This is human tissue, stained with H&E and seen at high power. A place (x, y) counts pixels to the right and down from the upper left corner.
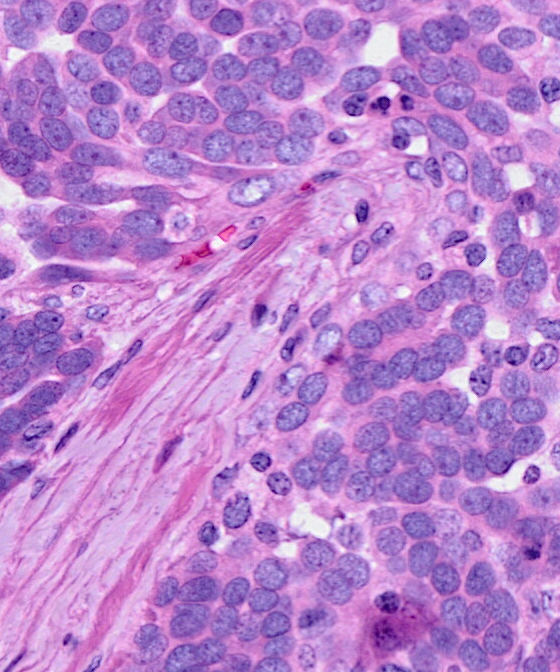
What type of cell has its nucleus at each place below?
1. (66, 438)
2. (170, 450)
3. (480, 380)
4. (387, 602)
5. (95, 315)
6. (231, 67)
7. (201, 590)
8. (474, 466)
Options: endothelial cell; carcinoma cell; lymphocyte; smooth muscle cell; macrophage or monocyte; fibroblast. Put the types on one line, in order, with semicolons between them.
fibroblast; fibroblast; macrophage or monocyte; lymphocyte; fibroblast; carcinoma cell; carcinoma cell; carcinoma cell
